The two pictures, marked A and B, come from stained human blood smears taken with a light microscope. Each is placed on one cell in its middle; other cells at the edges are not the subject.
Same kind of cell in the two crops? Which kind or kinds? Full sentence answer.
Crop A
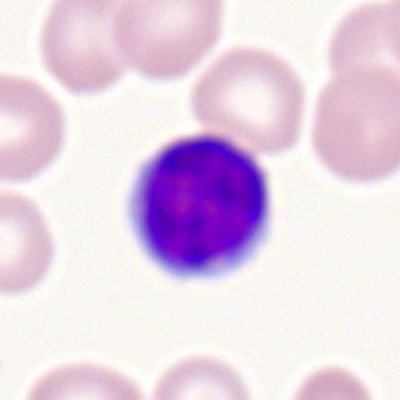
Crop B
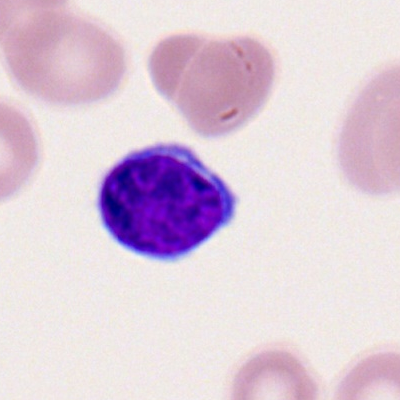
Yes, as shown in both crops, the central cells are lymphocytes.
